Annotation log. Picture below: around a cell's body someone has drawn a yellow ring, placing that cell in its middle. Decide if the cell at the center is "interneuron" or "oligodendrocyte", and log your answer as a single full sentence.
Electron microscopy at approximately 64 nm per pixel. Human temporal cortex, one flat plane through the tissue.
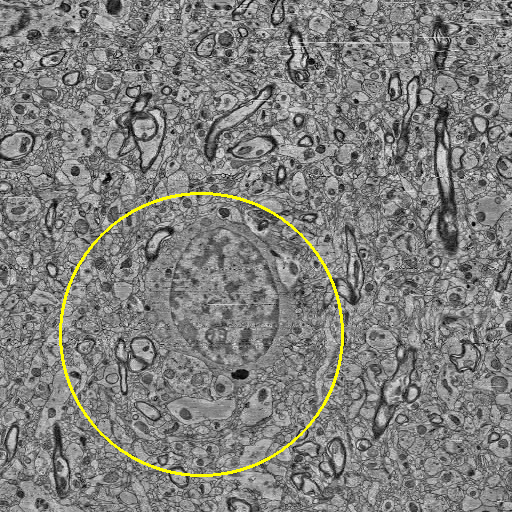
My entry records an oligodendrocyte as the cell sitting at the center of the yellow ring.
